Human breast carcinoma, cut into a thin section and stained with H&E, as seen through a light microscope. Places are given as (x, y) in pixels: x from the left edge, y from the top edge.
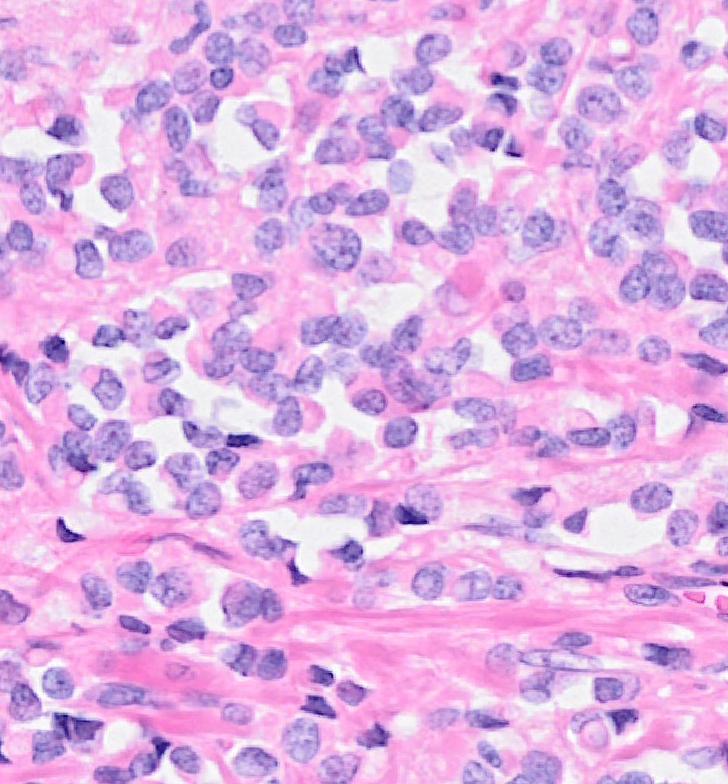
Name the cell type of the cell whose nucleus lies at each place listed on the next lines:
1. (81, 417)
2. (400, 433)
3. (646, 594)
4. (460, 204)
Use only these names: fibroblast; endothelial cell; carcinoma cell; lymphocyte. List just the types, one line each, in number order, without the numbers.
carcinoma cell
carcinoma cell
endothelial cell
carcinoma cell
